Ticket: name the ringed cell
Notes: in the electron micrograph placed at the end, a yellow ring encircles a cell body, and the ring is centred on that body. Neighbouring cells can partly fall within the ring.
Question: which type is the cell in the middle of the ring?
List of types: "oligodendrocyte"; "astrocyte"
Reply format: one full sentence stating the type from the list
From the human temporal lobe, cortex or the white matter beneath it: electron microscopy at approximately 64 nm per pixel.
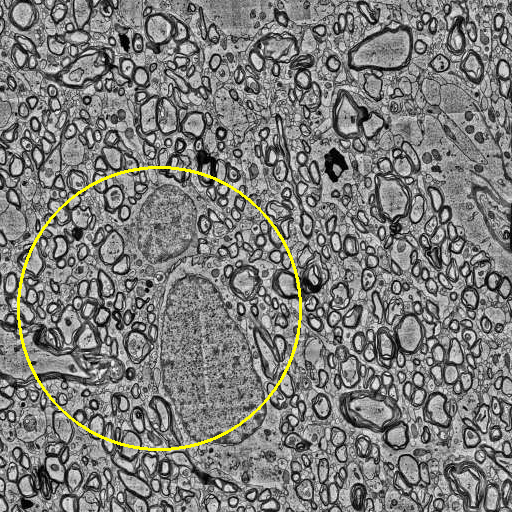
The cell sitting at the centre of the yellow ring is an astrocyte.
